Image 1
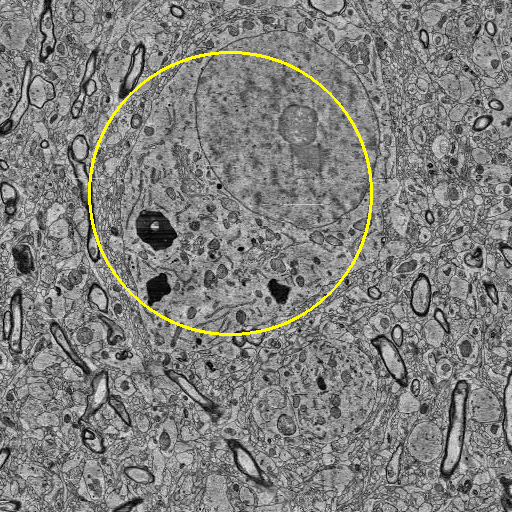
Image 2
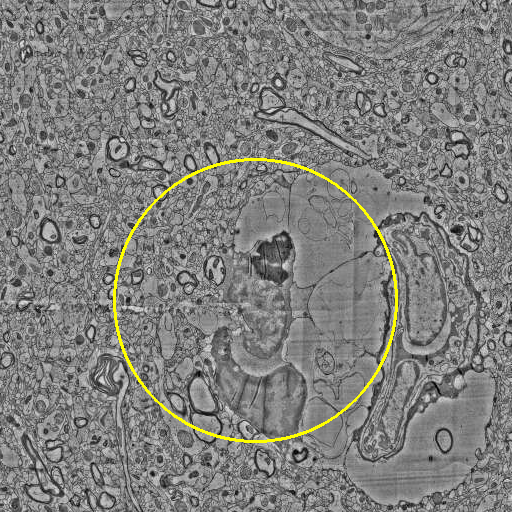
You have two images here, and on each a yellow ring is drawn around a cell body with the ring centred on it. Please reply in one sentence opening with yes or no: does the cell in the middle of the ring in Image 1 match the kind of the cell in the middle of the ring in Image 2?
No, the two images show cells of two kinds at the centres of their rings.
